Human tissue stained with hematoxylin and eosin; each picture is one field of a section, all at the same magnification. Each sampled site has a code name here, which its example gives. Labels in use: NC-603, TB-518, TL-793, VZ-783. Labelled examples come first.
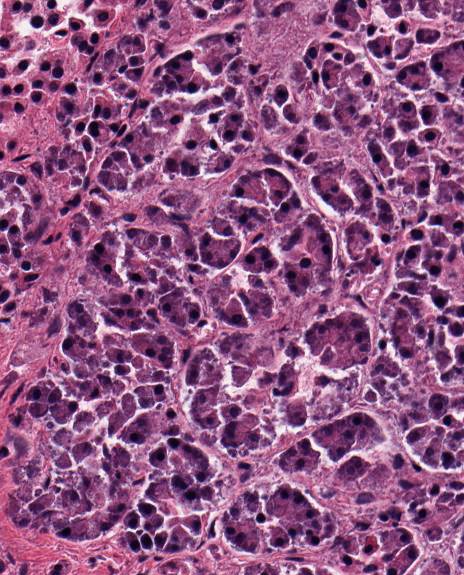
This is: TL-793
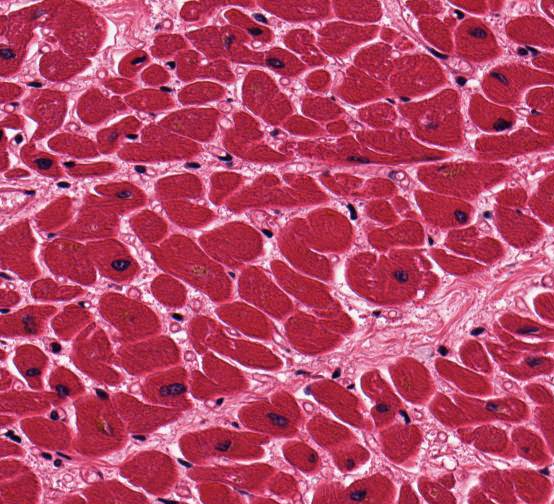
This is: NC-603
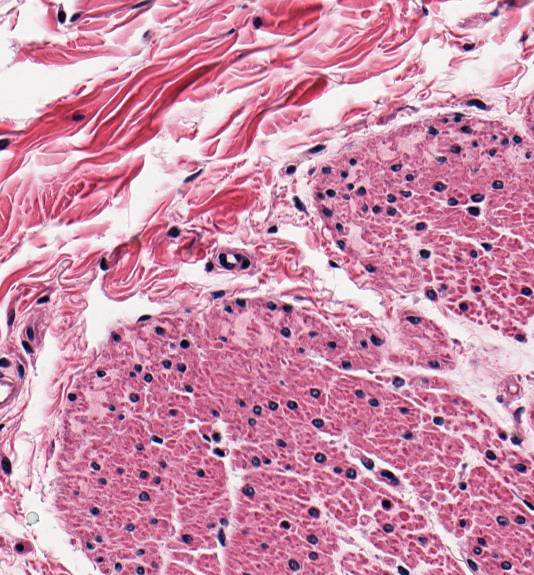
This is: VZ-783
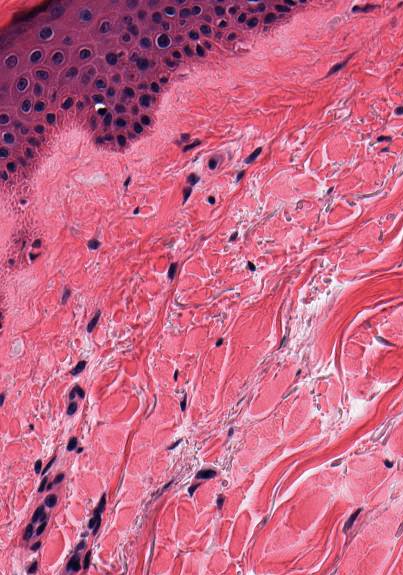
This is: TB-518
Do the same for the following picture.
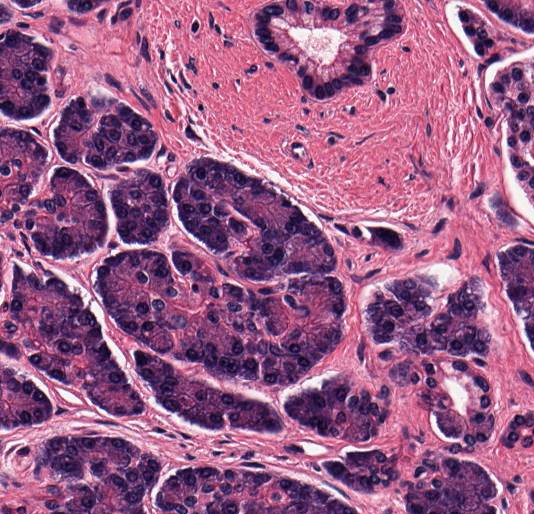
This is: TL-793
